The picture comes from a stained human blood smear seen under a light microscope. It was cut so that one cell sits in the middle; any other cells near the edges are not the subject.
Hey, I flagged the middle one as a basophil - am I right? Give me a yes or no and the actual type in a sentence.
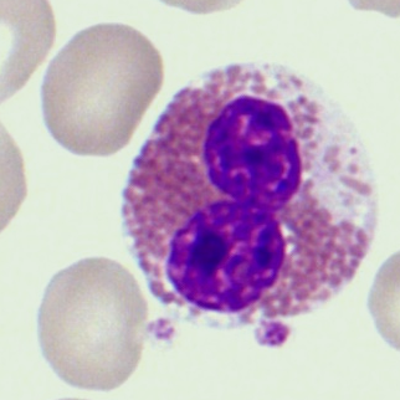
No, the correct answer for the middle cell is an eosinophil, not a basophil.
